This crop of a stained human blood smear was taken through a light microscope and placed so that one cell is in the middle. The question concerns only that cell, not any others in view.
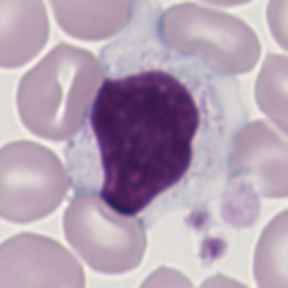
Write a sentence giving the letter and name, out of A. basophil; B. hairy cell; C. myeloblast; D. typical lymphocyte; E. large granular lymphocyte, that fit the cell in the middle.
In the centre of the crop there is a large granular lymphocyte, making option E correct.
